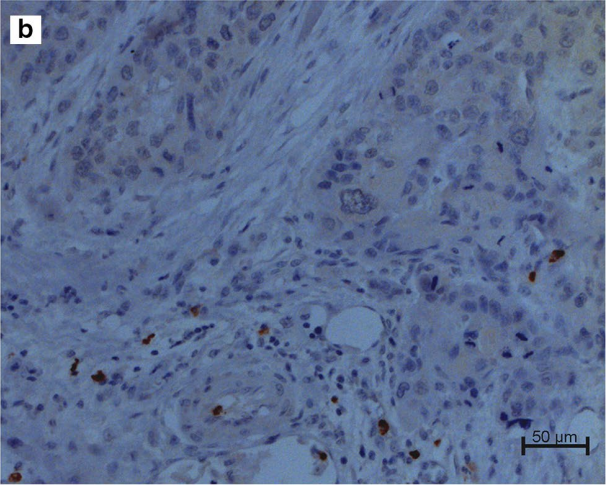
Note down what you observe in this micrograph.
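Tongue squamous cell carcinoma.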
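The tumour cells are polygonal with pale cytoplasm and large oval vesicular nuclei, some with visible nucleoli. The stroma between the nests holds elongated spindle-shaped nuclei and a few empty vascular spaces.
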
